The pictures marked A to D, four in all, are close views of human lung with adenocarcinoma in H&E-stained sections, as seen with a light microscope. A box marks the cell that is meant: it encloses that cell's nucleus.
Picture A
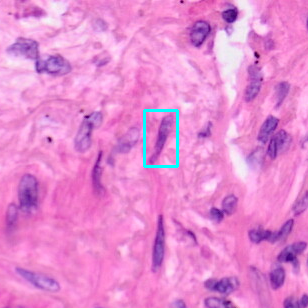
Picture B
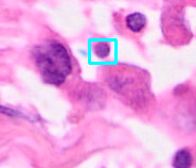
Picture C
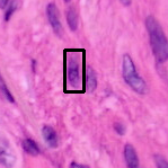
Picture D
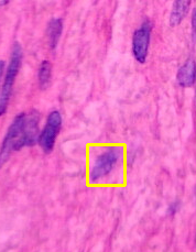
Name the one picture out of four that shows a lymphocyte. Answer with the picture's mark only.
B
